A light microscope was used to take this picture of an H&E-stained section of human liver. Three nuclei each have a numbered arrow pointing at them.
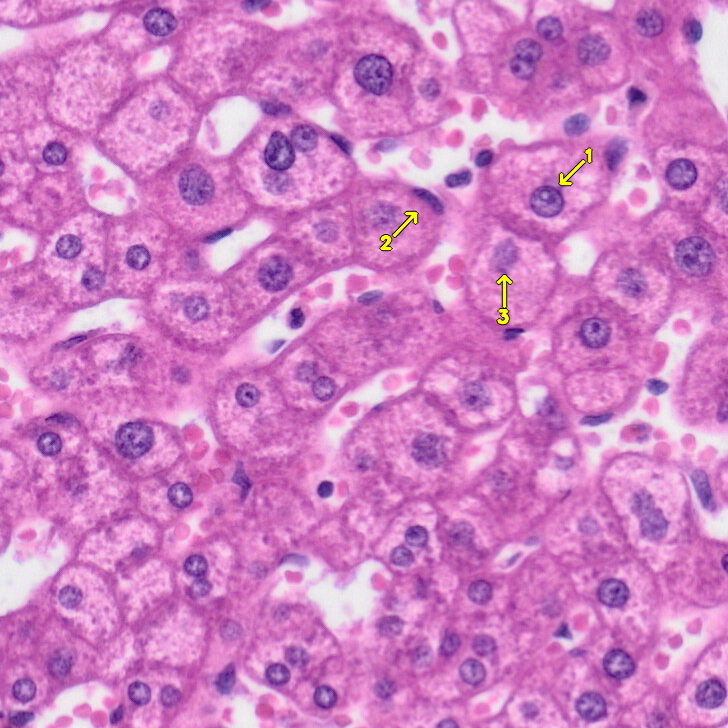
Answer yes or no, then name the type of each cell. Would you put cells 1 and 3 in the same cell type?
Yes, the pair formed by cells 1 and 3 consists of two hepatocytes.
